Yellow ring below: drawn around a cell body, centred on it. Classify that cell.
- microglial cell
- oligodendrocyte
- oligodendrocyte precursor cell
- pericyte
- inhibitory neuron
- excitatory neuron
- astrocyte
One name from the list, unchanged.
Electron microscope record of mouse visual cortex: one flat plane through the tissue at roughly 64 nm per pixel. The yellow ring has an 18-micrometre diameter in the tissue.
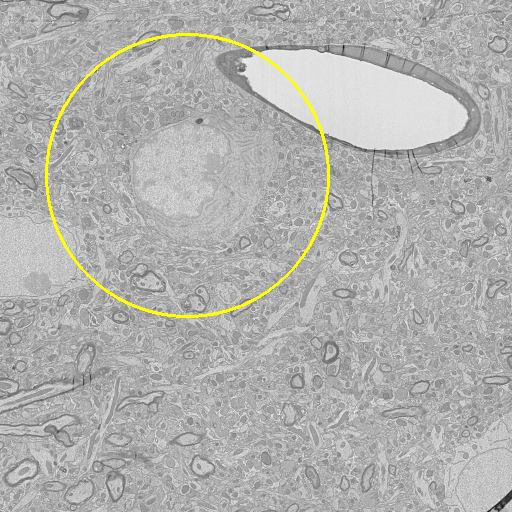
oligodendrocyte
